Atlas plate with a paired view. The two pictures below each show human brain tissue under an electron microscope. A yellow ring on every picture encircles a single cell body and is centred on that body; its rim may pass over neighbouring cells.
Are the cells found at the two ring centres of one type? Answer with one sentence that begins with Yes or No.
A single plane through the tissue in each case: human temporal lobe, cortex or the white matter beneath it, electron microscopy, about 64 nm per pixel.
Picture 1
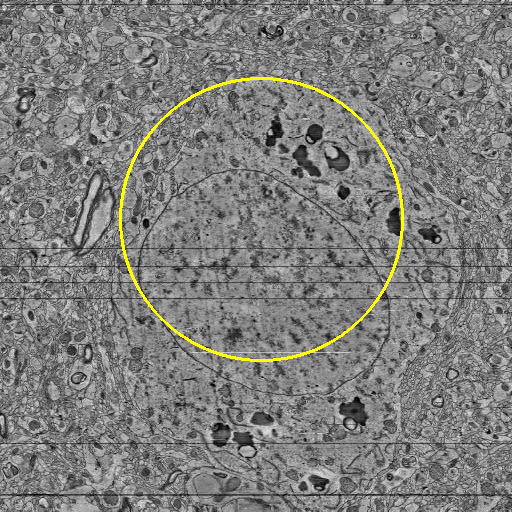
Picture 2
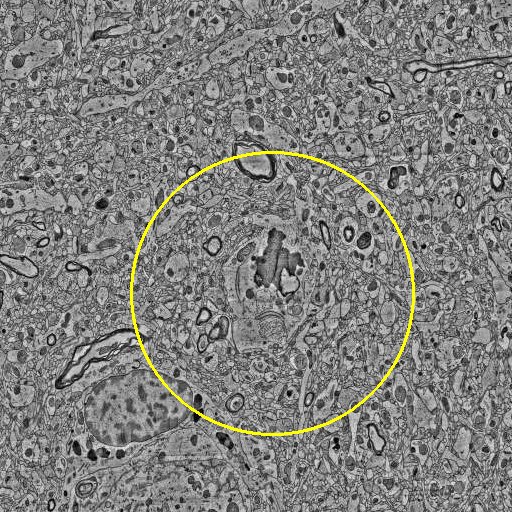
No, the two cells lying at the centres of the rings are of two types.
